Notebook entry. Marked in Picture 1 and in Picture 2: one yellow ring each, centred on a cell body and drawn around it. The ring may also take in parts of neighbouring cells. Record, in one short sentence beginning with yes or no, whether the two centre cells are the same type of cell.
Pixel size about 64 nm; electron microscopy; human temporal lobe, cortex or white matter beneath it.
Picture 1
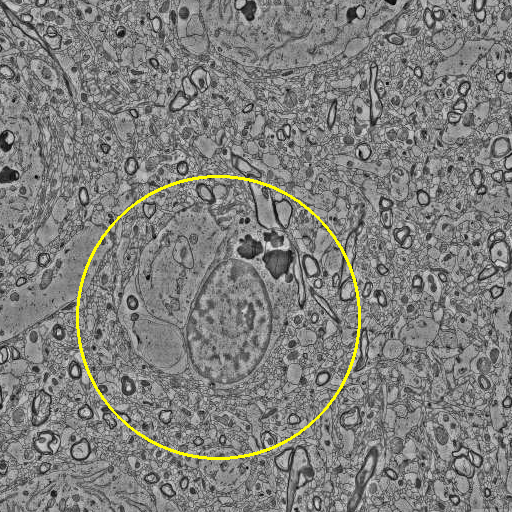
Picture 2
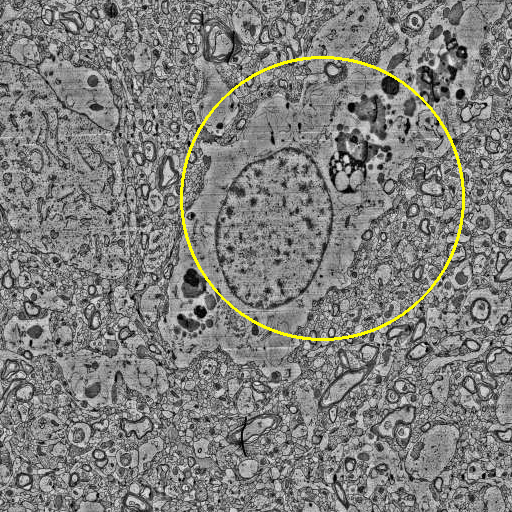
No, they are two types of cell.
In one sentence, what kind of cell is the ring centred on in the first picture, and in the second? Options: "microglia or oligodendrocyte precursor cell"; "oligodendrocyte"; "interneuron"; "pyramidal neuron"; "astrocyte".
The cell at the centre of the second ring is an astrocyte; the first ring's cell is an oligodendrocyte.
